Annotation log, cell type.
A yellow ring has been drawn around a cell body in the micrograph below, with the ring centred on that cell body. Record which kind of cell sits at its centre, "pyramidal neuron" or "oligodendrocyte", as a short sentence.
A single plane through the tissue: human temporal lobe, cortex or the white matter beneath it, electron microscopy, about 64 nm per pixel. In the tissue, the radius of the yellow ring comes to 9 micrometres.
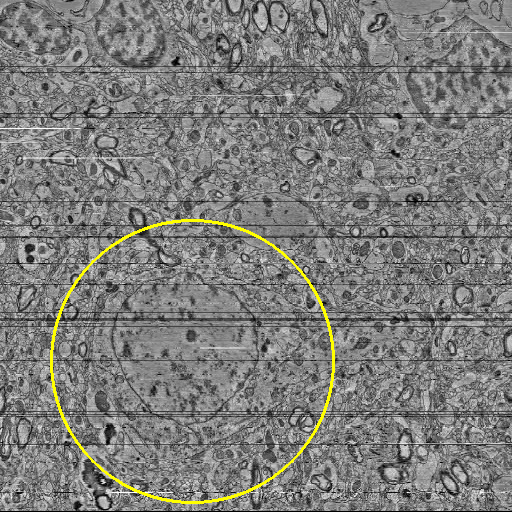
The cell at the centre of this ring is a pyramidal neuron.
